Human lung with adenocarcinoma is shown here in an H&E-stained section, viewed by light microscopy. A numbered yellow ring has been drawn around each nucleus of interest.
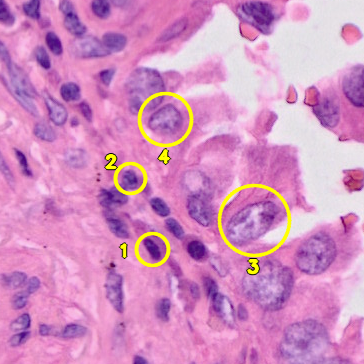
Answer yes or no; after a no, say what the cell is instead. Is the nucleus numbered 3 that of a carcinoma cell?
Yes.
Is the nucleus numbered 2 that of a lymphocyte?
Yes.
